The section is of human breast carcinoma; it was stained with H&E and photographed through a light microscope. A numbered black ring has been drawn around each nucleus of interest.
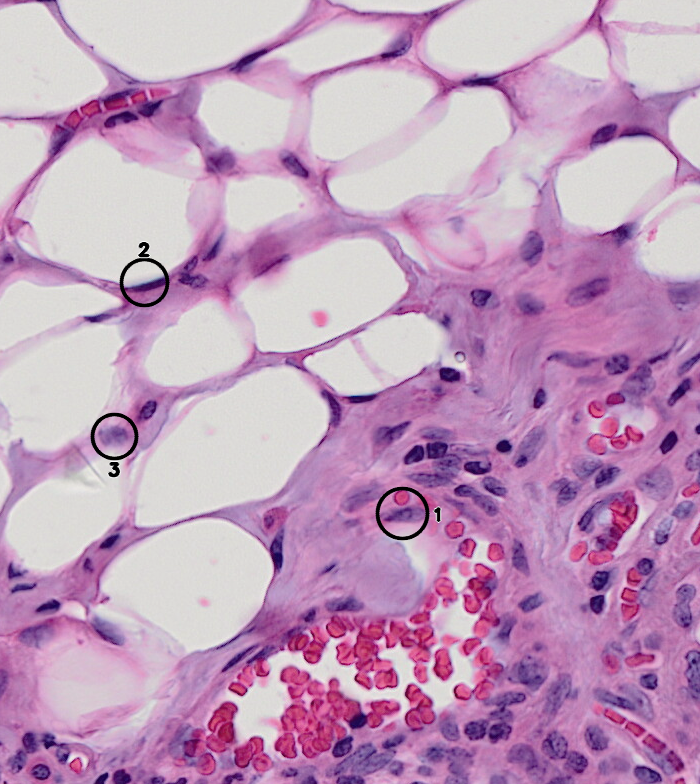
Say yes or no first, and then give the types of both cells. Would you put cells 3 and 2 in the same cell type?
No, cell 3 is a fibroblast, and cell 2, for its part, is an endothelial cell.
